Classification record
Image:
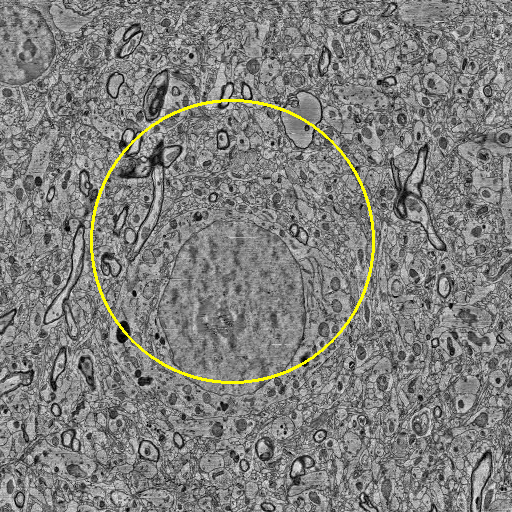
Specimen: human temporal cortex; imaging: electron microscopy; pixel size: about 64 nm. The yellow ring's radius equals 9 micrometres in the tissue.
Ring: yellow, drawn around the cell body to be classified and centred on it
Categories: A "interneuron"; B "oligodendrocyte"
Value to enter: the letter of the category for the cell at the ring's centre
A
